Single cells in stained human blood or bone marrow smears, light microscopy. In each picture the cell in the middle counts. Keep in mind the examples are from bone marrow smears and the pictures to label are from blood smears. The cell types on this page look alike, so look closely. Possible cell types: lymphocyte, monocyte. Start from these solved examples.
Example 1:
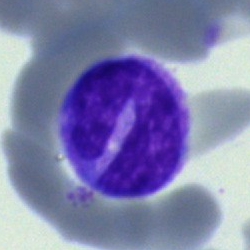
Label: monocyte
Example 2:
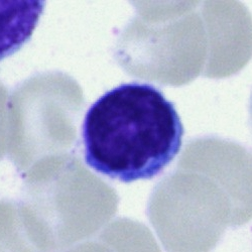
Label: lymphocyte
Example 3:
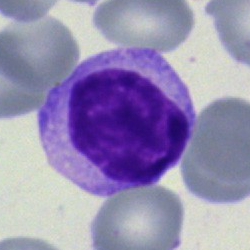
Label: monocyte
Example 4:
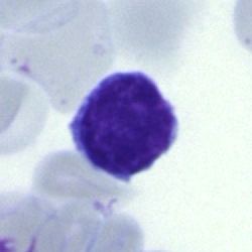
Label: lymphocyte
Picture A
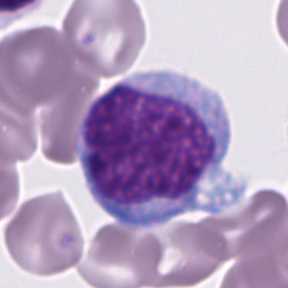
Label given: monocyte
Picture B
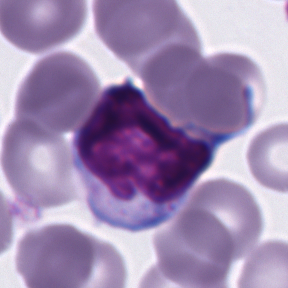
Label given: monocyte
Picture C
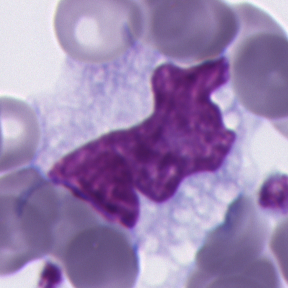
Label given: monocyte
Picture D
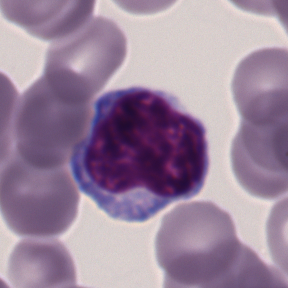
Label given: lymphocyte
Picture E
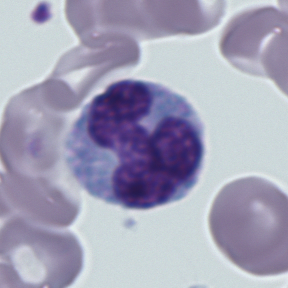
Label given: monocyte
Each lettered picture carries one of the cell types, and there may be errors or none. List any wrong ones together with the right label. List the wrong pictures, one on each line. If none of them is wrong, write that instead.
B: not monocyte but lymphocyte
